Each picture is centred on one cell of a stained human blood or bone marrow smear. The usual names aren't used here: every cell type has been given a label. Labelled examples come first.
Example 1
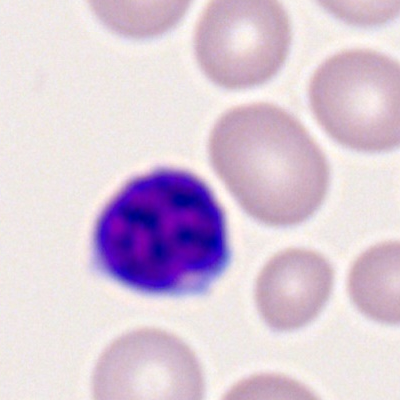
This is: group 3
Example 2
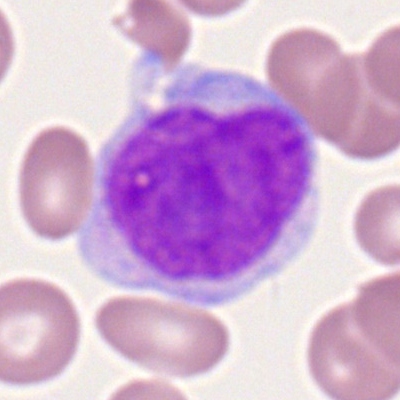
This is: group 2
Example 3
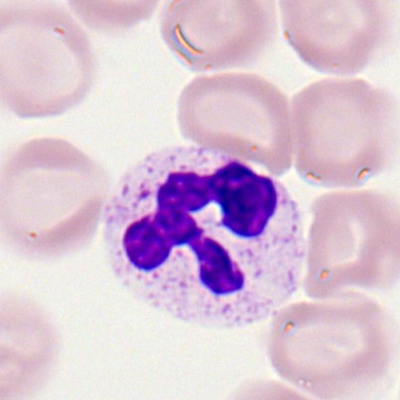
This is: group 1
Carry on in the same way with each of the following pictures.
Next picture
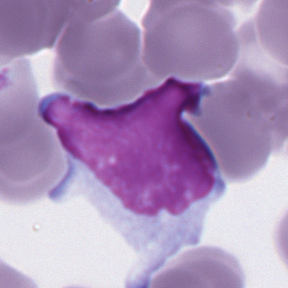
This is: group 3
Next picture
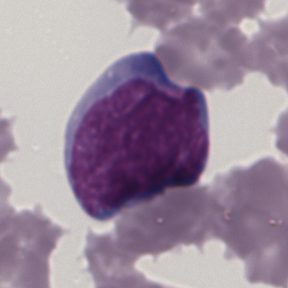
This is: group 2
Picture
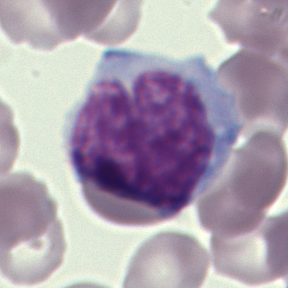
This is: group 2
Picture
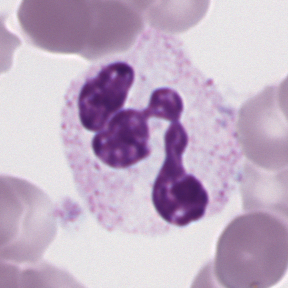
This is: group 1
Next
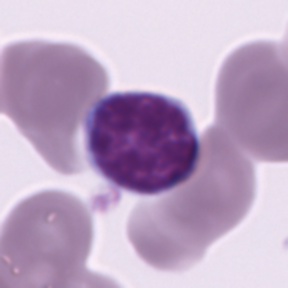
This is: group 3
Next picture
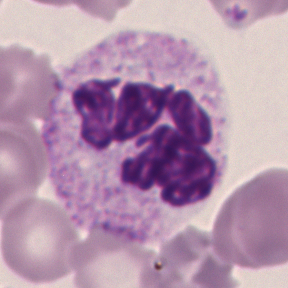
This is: group 1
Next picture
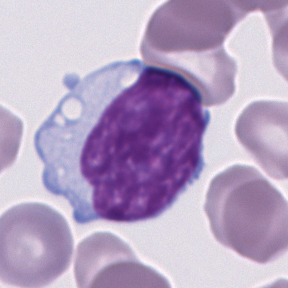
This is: group 2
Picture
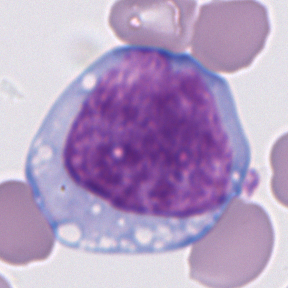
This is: group 2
